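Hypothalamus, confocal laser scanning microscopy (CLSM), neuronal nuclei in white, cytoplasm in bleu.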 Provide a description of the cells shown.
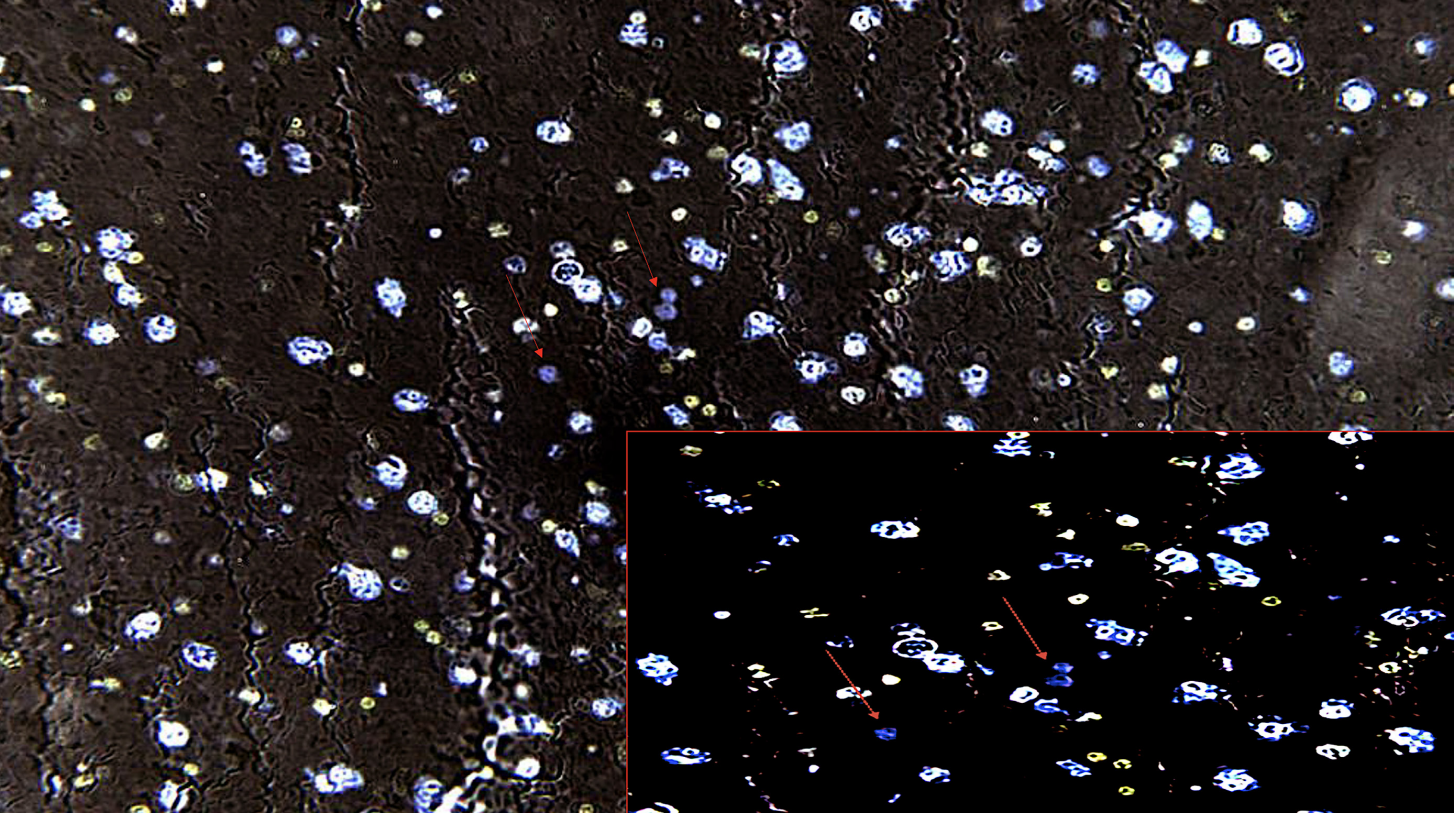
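Most cells appear as rounded or slightly irregular blue profiles with patchy white areas inside them, and they lie singly or in small clusters without a clear layered arrangement. Many small, round, pale yellowish-white dots are scattered among the larger blue cells. Dark wavy streaks run roughly top to bottom across the field. Red arrows point to small, deeper purple-blue spots that lie in the parenchyma between the cells. The enlarged insert at the lower right shows the same kinds of profiles against a black background, with its own red arrows on the purple spots.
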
